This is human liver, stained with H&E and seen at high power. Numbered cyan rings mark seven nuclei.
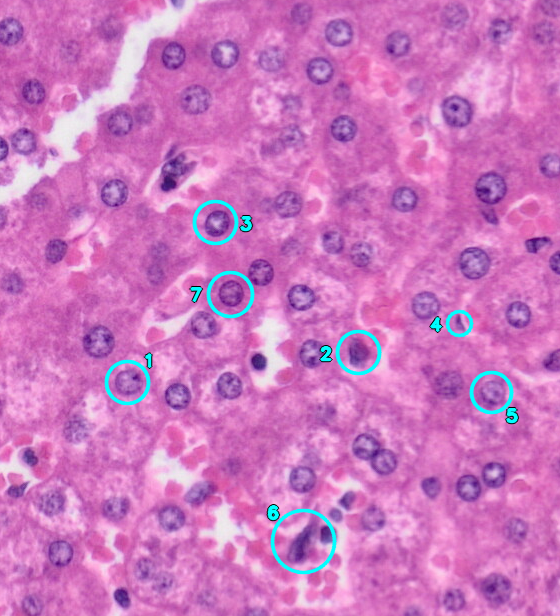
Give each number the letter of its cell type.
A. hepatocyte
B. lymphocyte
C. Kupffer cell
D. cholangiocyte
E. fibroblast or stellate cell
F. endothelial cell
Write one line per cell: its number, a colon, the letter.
1: A
2: F
3: A
4: F
5: A
6: C
7: A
